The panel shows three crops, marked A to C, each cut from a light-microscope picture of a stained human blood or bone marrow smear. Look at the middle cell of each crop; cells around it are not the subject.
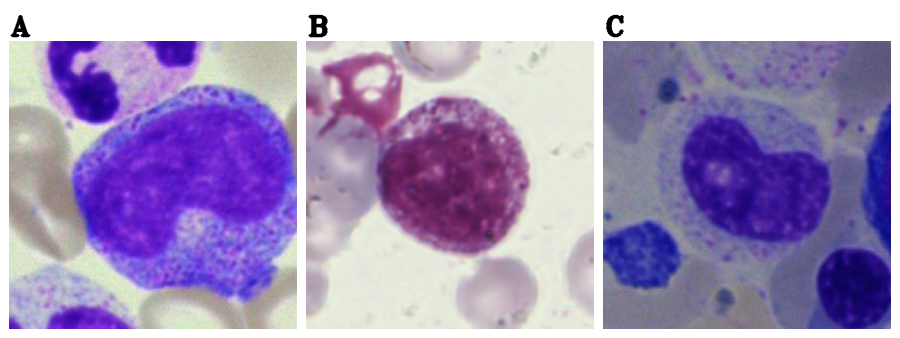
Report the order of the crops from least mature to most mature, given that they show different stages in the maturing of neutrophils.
A, B, C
